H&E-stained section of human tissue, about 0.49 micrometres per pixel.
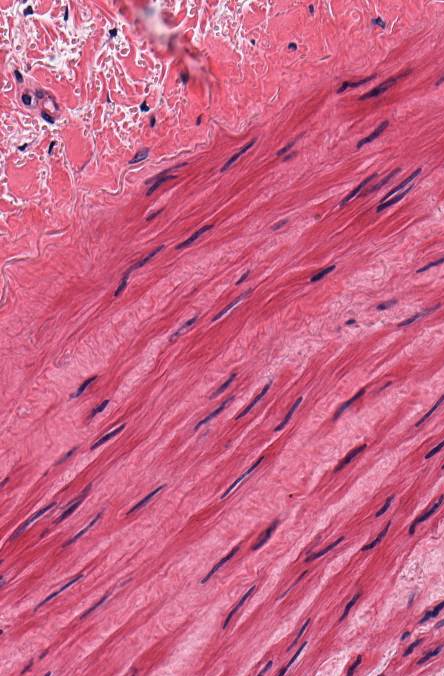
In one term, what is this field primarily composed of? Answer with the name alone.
tunica media of an artery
